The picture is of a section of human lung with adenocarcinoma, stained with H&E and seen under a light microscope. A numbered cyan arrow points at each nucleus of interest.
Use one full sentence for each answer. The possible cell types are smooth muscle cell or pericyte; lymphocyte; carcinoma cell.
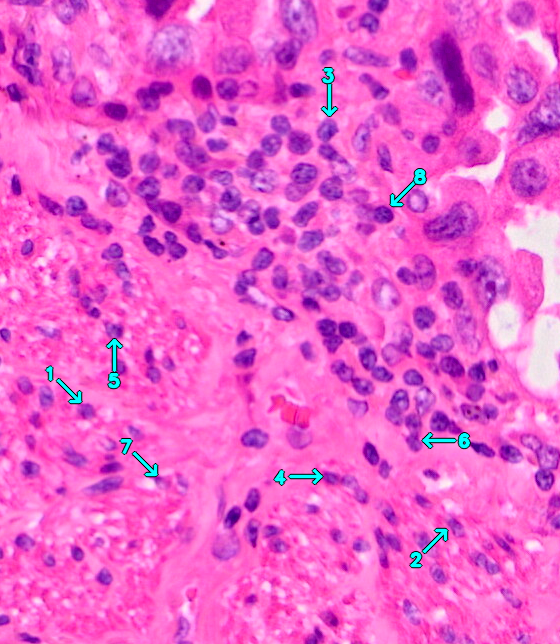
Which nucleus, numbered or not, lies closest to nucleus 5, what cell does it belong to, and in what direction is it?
It is a smooth muscle cell or pericyte, whose nucleus lies above and to the left of nucleus 5.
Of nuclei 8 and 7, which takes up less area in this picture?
Nucleus 7 covers less area, with nucleus 8 about 1.5 times as large.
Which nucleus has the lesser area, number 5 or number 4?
Nucleus 4 is the smaller one; nucleus 5 covers about 2 times its area.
